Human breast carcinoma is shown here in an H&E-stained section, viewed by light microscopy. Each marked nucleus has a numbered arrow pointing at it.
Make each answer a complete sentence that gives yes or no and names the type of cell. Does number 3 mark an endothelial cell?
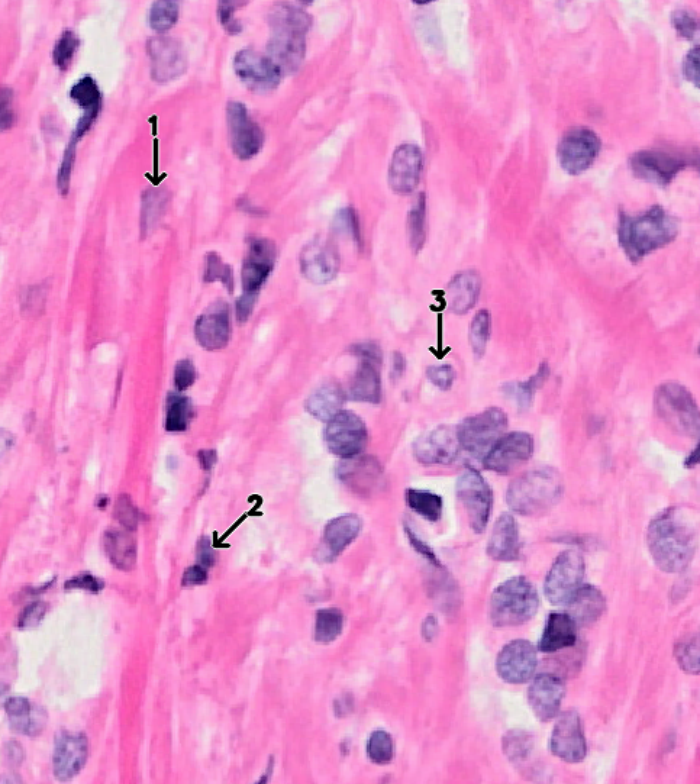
Yes, the cell pointed out as number 3 is an endothelial cell.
